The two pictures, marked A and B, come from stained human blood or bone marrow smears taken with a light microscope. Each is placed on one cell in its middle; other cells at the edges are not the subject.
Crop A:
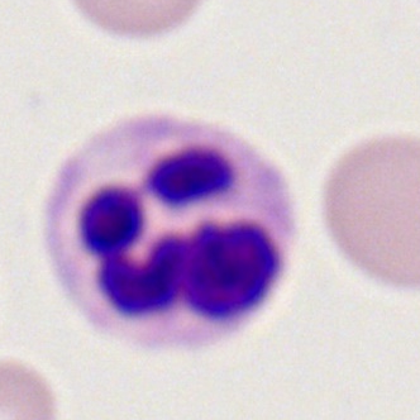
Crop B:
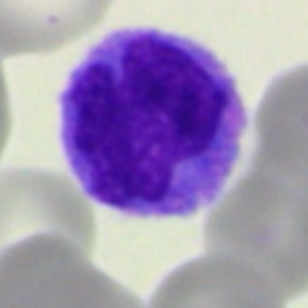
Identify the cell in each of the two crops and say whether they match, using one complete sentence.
No, it is crop A that shows a segmented neutrophil, and crop B shows a monocyte.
